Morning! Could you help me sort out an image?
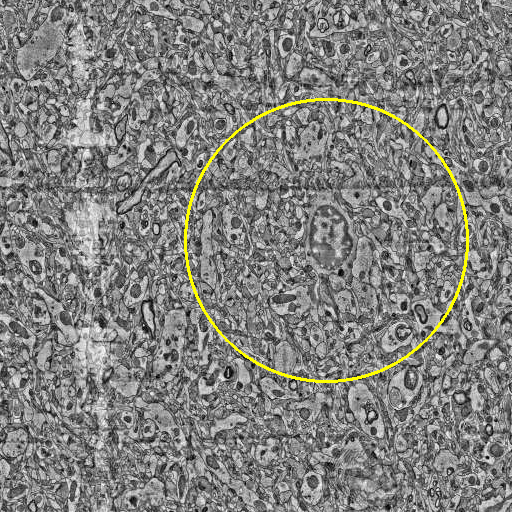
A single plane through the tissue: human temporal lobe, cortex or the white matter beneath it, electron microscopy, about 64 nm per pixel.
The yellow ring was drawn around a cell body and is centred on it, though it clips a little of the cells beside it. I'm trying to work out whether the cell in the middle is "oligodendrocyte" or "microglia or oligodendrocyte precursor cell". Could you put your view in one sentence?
The ringed cell body is that of an oligodendrocyte.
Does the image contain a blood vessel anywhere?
No.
